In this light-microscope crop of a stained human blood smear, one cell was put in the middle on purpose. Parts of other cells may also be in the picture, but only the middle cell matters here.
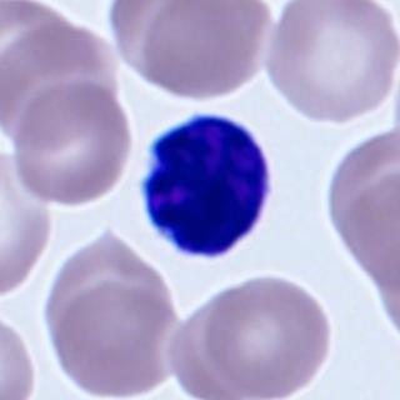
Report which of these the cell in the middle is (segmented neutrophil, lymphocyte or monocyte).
lymphocyte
